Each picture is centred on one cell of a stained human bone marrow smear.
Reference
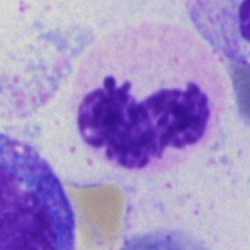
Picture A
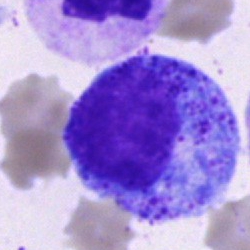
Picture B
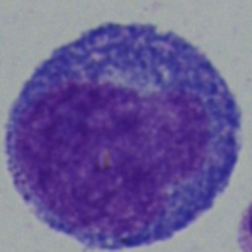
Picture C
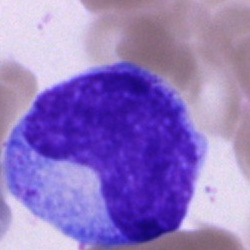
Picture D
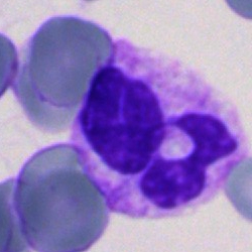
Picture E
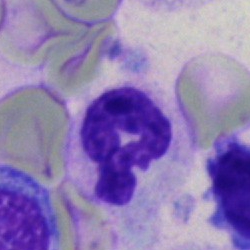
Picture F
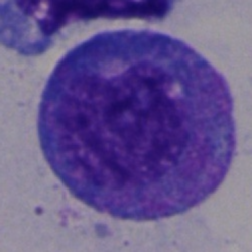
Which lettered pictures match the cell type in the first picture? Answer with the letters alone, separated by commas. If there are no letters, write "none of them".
D, E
